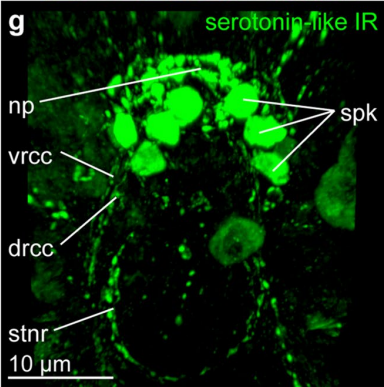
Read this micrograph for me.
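In the head, a small group of large, rounded green cell bodies sits in a cluster at the front, on both sides of the midline. These are nerve cell bodies of the brain, roughly symmetric left and right. Just in front of and between them runs a bright band of fine green fibres, the neuropil of the brain. From the brain, thin beaded green fibres run backwards on each side, forming connectives that pass around the foregut.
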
